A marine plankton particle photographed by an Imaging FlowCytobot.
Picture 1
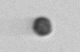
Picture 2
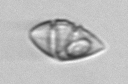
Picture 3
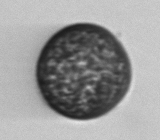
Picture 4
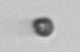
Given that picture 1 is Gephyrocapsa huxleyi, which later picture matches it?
4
